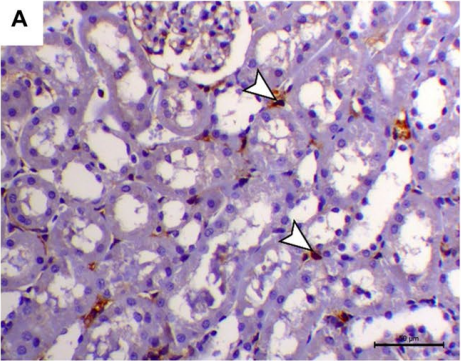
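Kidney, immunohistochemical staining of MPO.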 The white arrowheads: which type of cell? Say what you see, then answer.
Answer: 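The arrowheads point to small brown spots in the narrow spaces between tubules. The tubule linings themselves are largely unstained. That points to this answer: interstitial cells.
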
